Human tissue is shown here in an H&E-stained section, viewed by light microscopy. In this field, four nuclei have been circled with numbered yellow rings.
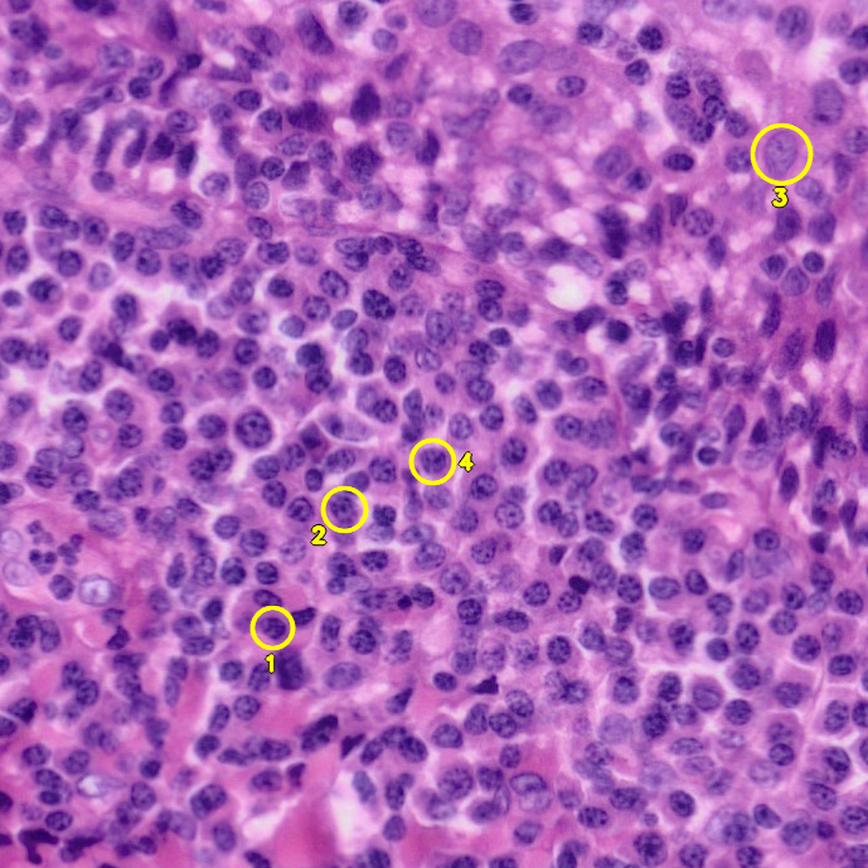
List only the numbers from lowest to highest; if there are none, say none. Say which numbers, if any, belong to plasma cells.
1, 2, 4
